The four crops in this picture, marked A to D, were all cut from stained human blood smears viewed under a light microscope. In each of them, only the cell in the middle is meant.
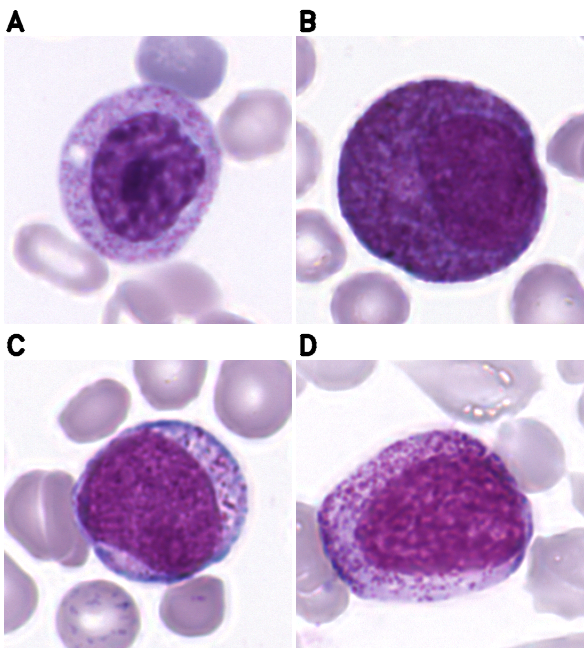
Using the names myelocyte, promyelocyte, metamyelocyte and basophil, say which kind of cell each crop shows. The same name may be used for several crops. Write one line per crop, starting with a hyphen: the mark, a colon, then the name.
- A: myelocyte
- B: promyelocyte
- C: promyelocyte
- D: promyelocyte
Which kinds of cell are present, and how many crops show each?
promyelocyte: 3
myelocyte: 1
